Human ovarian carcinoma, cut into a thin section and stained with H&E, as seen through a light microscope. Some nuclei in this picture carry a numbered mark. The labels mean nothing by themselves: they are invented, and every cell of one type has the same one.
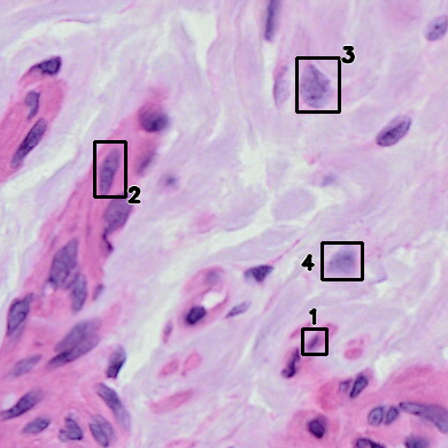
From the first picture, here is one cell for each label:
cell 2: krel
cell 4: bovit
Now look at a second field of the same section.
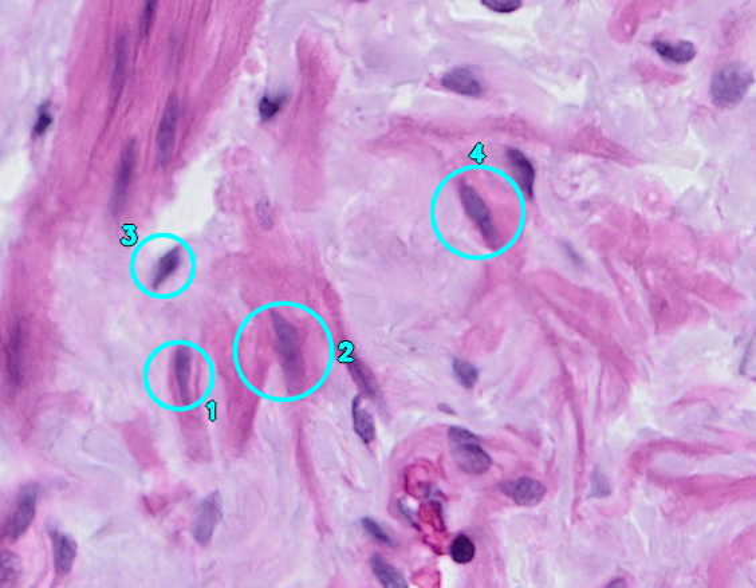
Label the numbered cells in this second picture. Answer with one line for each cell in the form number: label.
1: krel
2: krel
3: bovit
4: krel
